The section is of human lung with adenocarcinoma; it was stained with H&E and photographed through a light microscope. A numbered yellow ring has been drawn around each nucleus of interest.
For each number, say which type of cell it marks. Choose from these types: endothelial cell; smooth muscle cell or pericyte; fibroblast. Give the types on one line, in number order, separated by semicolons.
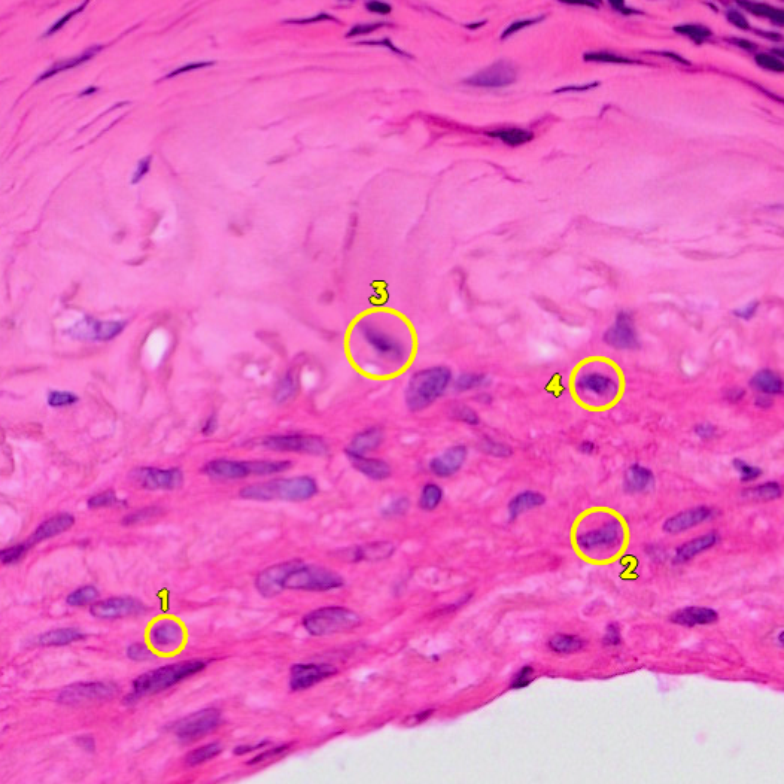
smooth muscle cell or pericyte; smooth muscle cell or pericyte; fibroblast; smooth muscle cell or pericyte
